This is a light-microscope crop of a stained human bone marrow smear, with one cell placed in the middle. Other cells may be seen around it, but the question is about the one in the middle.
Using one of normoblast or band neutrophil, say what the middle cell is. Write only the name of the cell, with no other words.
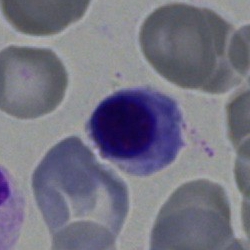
normoblast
